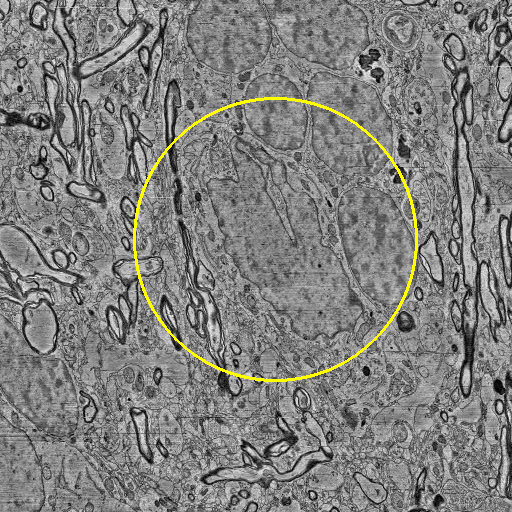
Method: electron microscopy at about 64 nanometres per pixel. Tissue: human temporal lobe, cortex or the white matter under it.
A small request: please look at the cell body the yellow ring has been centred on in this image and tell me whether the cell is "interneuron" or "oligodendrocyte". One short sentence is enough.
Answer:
The cell marked by the ring is an interneuron.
